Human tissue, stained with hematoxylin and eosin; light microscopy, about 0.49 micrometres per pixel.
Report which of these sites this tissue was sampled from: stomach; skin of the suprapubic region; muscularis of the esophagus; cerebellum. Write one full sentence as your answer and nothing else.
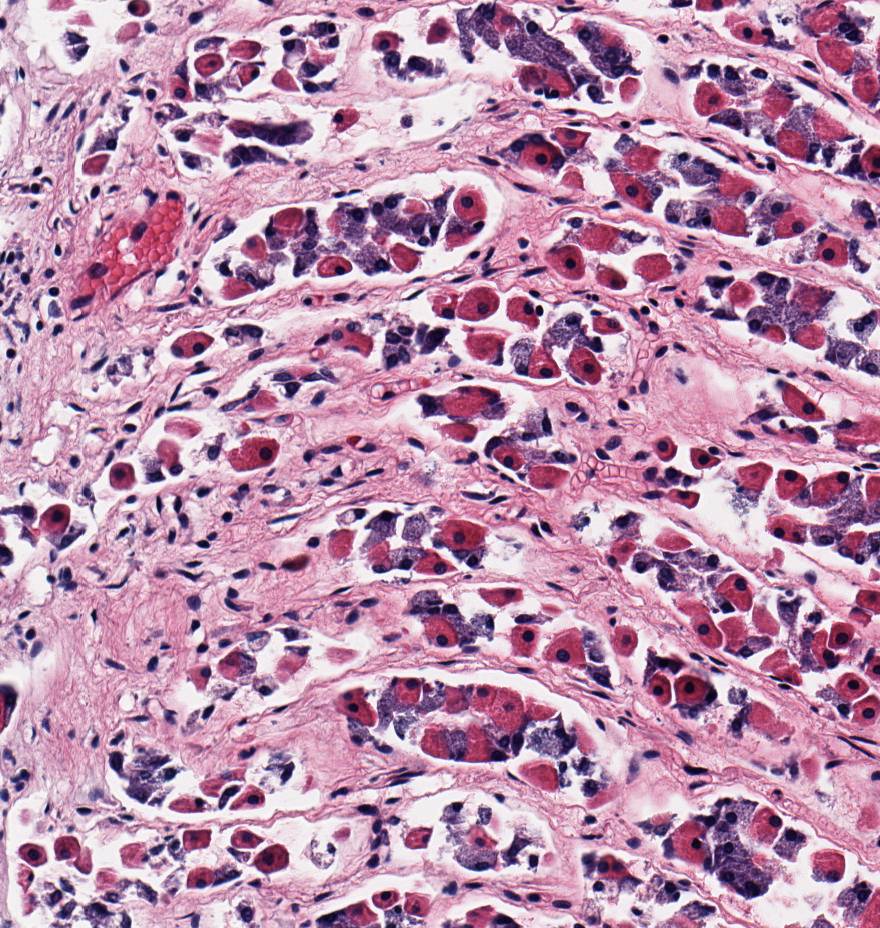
From the stomach came the tissue in this section.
